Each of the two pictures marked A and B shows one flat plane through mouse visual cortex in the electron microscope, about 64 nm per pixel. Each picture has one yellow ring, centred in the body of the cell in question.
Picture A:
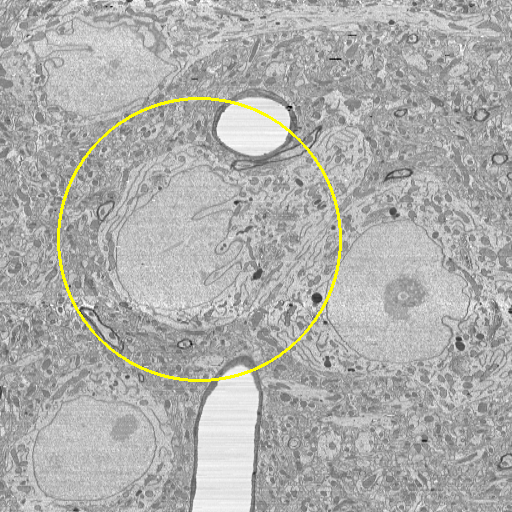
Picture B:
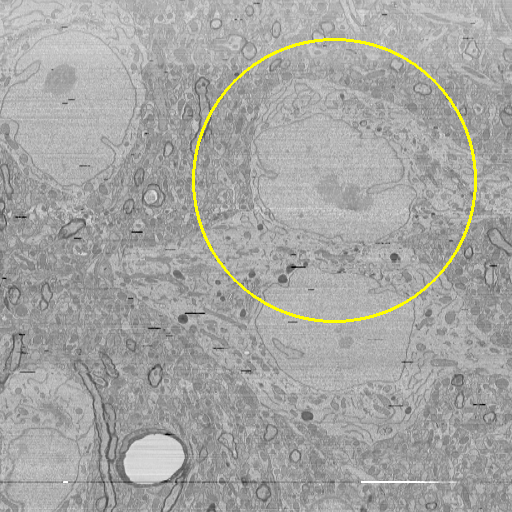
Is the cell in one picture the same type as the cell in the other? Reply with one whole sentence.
Yes, the two pictures both show inhibitory neurons.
